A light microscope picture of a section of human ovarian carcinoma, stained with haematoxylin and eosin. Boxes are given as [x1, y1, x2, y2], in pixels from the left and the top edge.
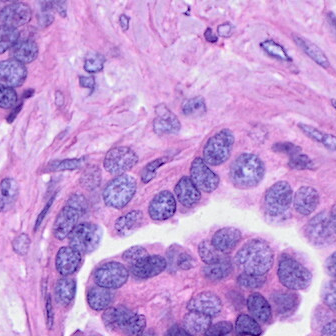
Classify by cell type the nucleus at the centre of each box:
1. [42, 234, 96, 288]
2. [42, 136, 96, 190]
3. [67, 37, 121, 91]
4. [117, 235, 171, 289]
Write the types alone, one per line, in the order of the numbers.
carcinoma cell
fibroblast
fibroblast
carcinoma cell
